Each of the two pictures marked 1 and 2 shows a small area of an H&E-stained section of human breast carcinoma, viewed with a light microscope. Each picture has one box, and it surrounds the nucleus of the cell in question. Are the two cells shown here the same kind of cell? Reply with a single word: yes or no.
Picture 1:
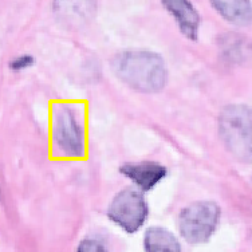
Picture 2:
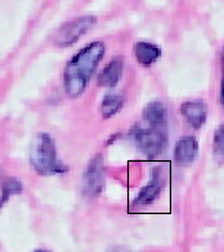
yes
